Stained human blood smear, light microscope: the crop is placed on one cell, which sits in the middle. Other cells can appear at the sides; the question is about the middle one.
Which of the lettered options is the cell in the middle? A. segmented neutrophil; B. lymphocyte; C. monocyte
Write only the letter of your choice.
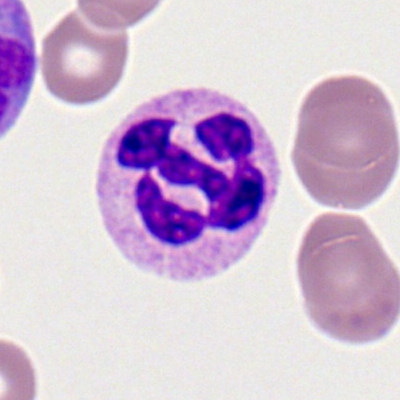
A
